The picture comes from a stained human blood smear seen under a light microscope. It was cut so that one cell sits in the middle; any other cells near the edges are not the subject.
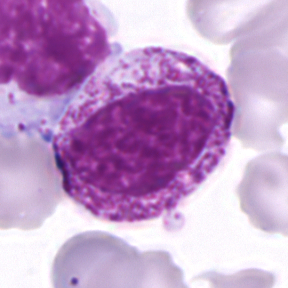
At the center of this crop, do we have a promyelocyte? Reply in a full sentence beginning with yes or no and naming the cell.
No, the central cell is a myelocyte, not a promyelocyte.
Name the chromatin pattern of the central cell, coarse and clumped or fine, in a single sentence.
The chromatin remains finely textured, with no coarse clumps to speak of.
